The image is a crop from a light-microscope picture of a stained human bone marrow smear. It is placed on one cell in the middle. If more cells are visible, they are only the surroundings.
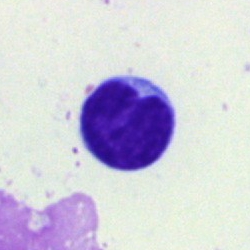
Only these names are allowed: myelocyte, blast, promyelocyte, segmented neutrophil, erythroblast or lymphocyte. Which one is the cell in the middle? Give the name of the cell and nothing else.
lymphocyte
